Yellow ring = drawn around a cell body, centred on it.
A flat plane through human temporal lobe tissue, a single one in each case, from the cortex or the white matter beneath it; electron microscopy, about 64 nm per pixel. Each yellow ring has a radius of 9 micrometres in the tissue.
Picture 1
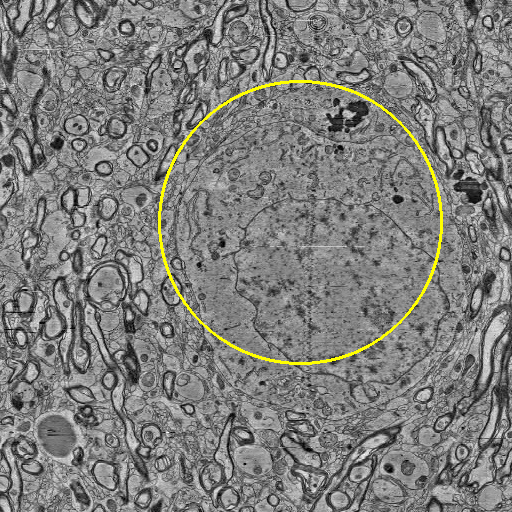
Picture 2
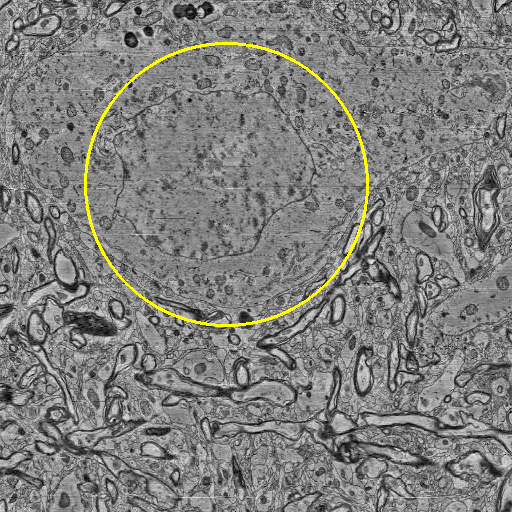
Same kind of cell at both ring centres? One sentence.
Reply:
Yes, they are the same kind of cell.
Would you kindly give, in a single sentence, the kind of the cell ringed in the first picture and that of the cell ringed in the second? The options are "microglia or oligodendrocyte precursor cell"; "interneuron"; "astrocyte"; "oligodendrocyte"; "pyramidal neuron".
In the first picture and in the second, the ring is centred on a pyramidal neuron.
